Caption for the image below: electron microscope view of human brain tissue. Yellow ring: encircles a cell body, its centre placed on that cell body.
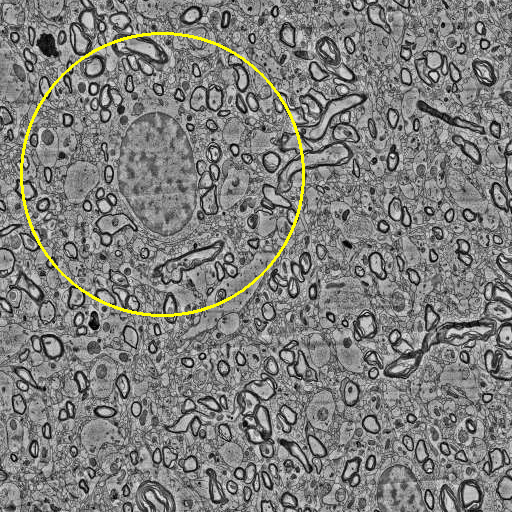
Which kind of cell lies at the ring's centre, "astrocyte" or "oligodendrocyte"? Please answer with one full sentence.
The picture shows an oligodendrocyte at the centre of the yellow ring.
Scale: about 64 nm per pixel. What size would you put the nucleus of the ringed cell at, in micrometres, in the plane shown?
In this plane the nucleus is roughly 8 by 5 micrometres, clearly longer than it is wide.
